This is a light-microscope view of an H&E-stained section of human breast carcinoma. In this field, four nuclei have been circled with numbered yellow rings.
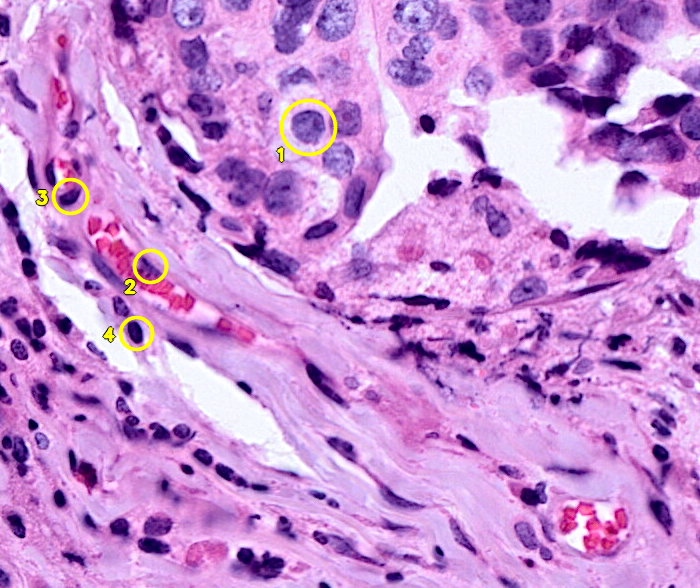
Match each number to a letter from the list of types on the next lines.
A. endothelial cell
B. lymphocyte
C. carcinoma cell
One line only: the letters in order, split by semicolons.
C; A; A; B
